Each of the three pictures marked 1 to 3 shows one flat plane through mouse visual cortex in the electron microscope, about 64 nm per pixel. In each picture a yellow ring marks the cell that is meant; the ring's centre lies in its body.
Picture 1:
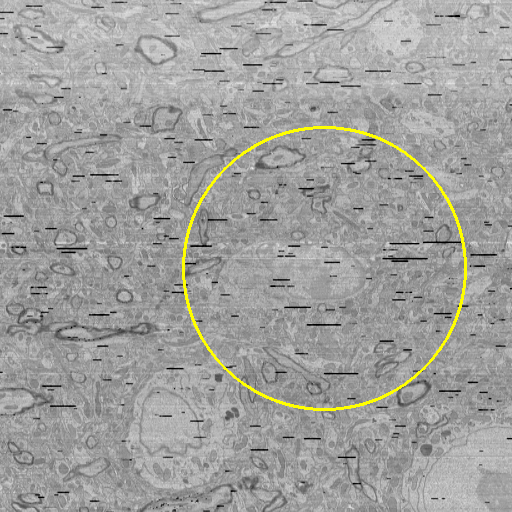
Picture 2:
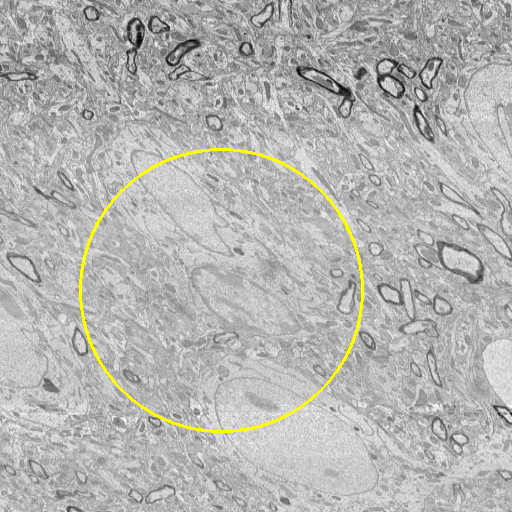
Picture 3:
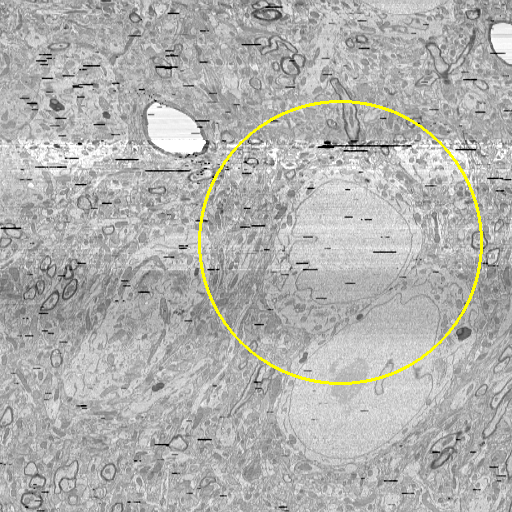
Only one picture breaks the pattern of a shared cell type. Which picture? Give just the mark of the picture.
3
